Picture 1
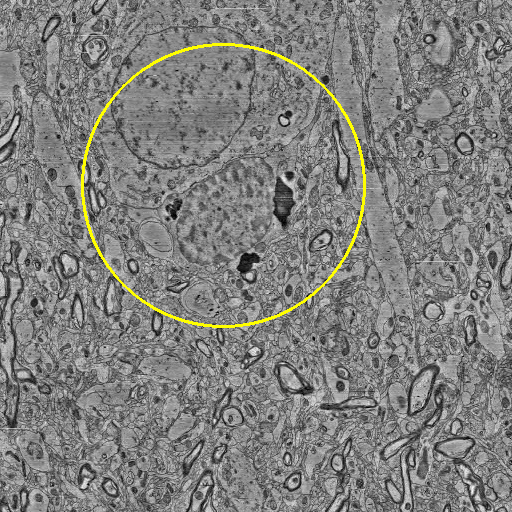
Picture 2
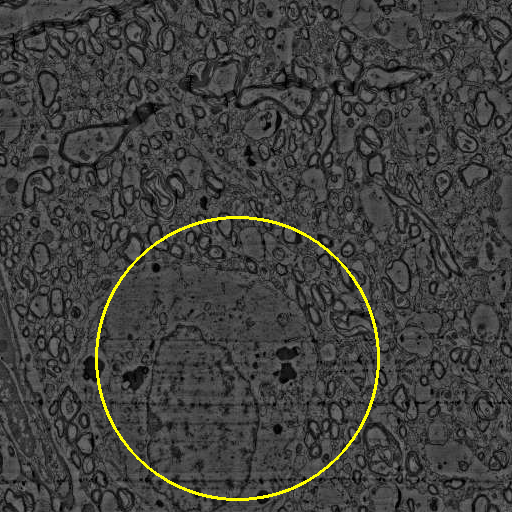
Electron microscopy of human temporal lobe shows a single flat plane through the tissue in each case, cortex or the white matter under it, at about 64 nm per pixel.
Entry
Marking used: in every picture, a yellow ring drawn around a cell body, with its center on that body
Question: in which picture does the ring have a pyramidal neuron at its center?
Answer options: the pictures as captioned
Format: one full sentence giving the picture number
Picture 2 is where the ring's center falls on the requested cell.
